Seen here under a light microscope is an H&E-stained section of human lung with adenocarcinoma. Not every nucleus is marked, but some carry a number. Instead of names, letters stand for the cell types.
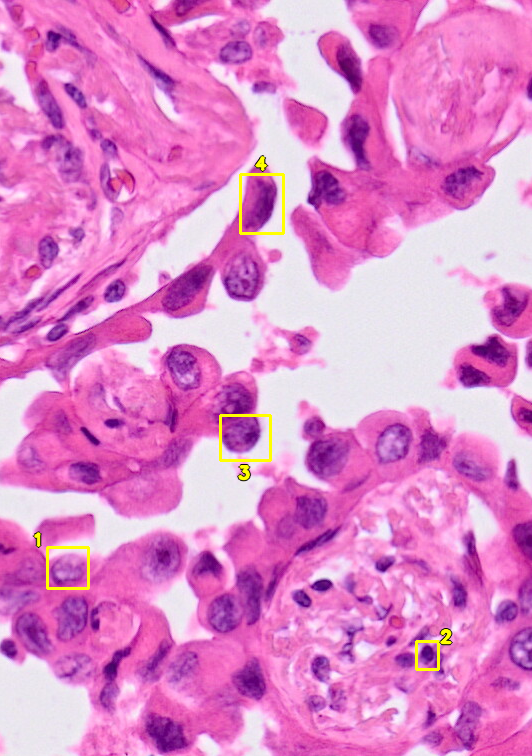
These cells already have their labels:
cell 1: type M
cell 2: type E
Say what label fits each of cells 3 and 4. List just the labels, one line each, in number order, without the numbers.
type M
type M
